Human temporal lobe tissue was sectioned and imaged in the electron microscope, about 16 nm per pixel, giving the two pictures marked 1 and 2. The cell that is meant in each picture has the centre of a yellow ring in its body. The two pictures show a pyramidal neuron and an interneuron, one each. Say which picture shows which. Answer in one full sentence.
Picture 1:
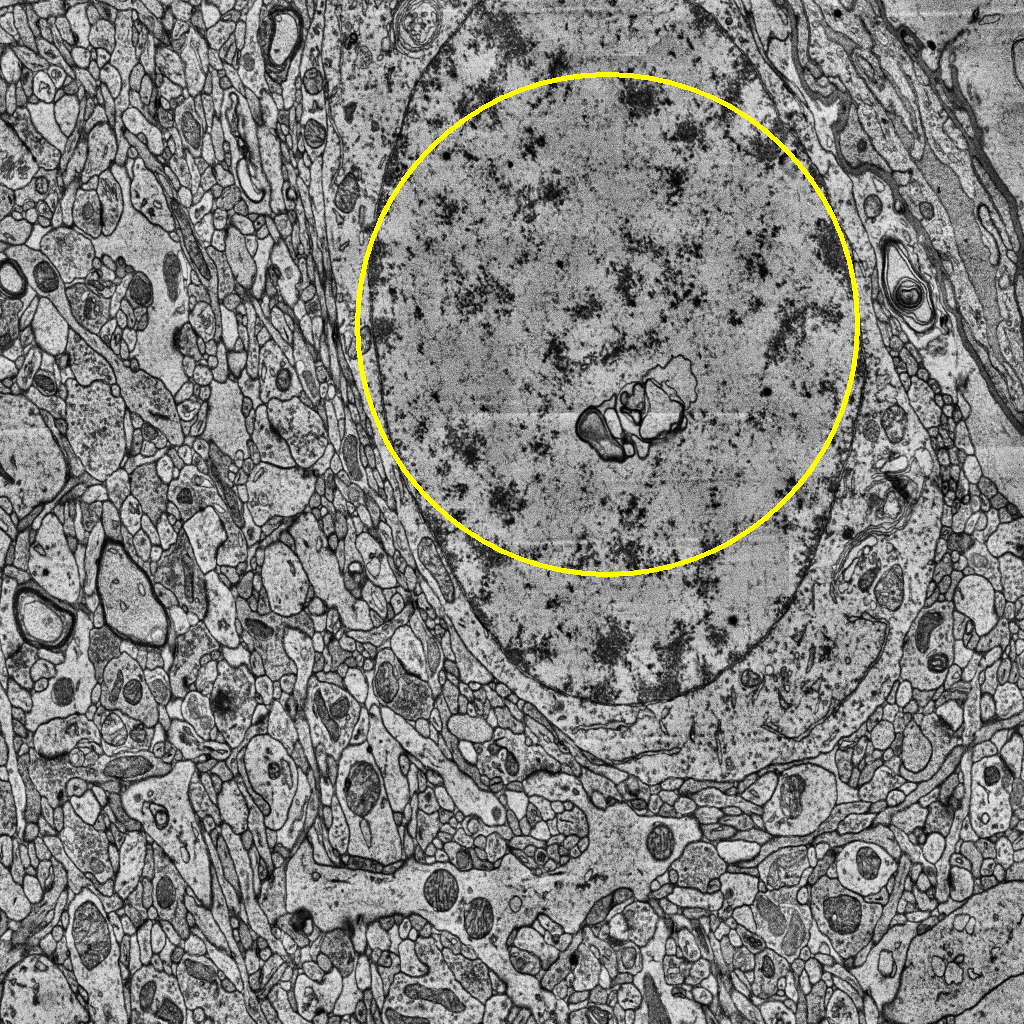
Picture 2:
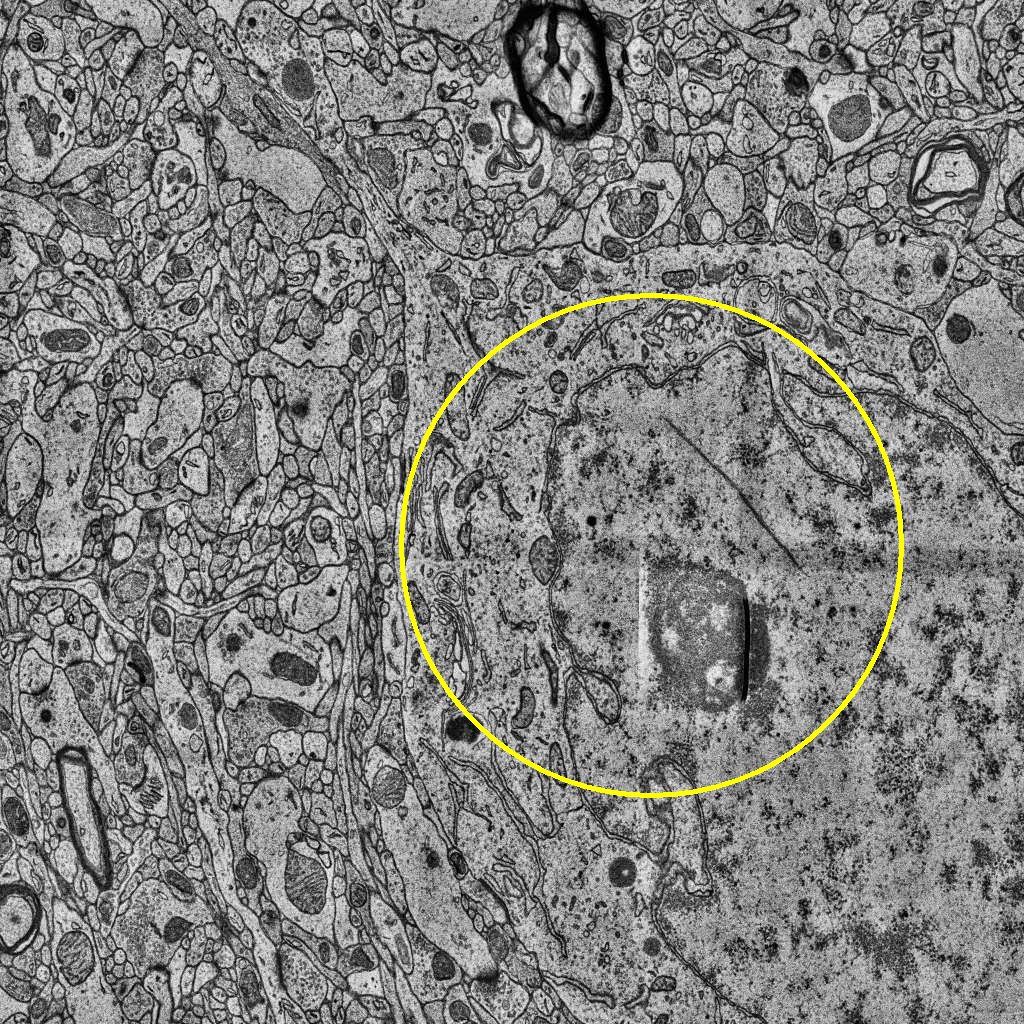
Picture 1 is of a pyramidal neuron, and picture 2 is of an interneuron.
